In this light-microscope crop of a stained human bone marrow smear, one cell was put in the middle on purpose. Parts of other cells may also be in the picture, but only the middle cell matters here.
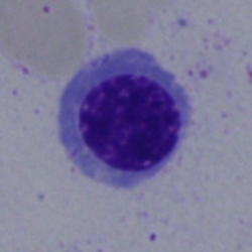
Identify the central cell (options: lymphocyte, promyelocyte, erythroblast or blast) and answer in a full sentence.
Positioned in the middle of the crop is an erythroblast.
